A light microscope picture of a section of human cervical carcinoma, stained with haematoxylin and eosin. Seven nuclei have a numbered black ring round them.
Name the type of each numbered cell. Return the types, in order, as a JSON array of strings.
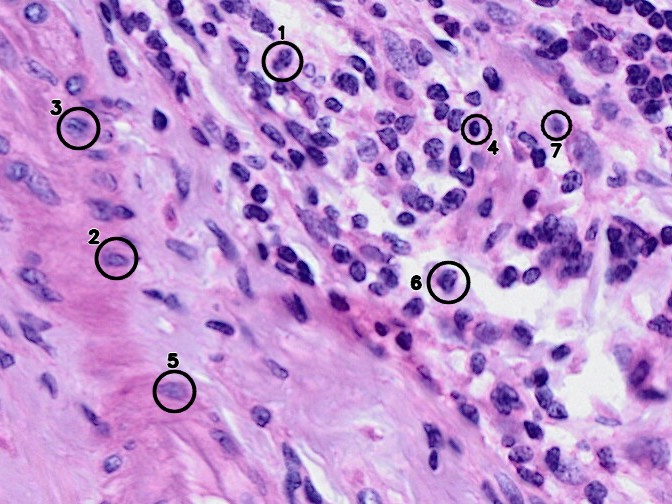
["lymphocyte", "smooth muscle cell", "smooth muscle cell", "lymphocyte", "smooth muscle cell", "lymphocyte", "lymphocyte"]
